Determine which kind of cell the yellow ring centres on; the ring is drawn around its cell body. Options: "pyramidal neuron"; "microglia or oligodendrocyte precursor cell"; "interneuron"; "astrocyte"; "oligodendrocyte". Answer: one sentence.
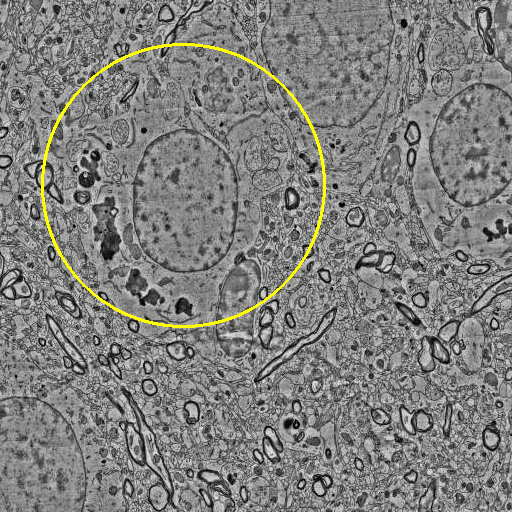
The ring centres on an astrocyte.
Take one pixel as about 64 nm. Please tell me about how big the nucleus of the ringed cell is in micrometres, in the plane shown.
In this plane, approximately 9 by 7 micrometers.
